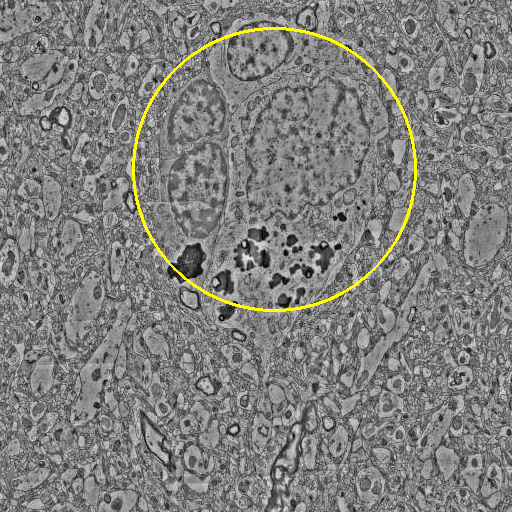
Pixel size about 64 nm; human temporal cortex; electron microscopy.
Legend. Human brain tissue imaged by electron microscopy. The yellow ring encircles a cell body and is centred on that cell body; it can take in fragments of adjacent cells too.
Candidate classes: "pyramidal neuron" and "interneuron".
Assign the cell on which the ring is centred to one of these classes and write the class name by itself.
interneuron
